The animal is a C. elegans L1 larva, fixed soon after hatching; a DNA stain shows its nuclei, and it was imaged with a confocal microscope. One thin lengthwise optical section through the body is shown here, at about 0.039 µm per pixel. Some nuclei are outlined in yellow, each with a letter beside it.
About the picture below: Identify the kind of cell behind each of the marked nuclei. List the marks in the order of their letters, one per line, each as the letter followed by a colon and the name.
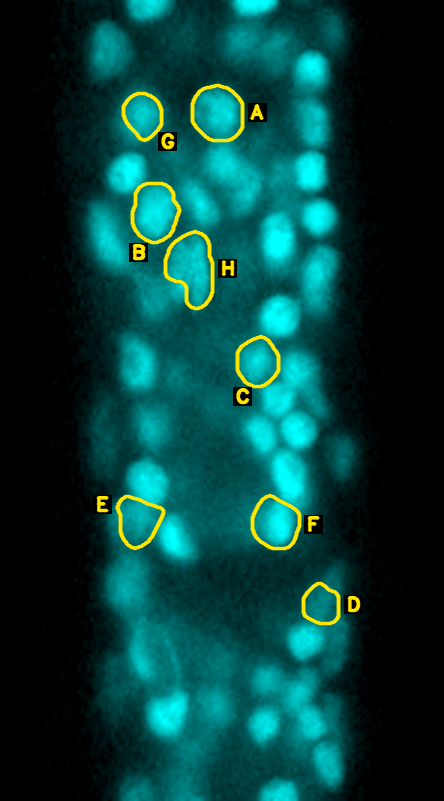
A: pharyngeal muscle cell
B: pharyngeal muscle cell
C: neuron
D: body wall muscle cell
E: neuron
F: GLR cell
G: neuron
H: pharyngeal marginal cell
